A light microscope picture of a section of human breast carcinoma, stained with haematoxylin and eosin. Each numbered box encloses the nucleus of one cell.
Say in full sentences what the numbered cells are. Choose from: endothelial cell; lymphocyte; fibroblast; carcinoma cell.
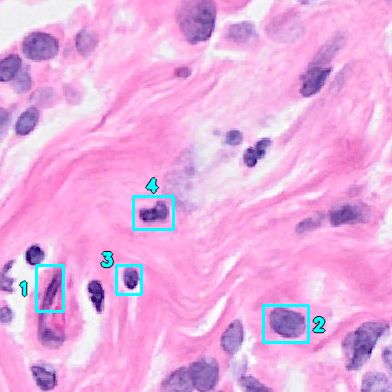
Cell 1 is an endothelial cell. Cell 2 is a carcinoma cell. Cells 3 and 4 are lymphocytes.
